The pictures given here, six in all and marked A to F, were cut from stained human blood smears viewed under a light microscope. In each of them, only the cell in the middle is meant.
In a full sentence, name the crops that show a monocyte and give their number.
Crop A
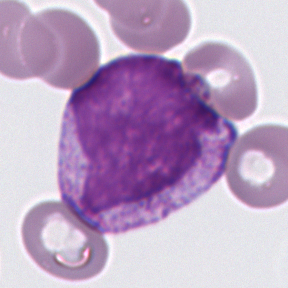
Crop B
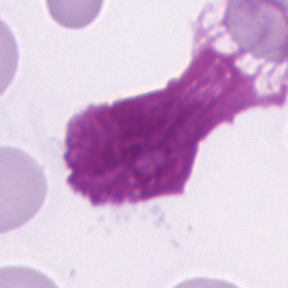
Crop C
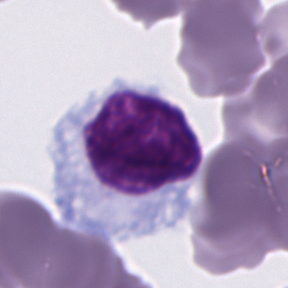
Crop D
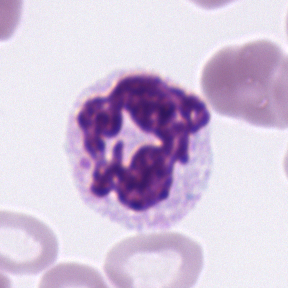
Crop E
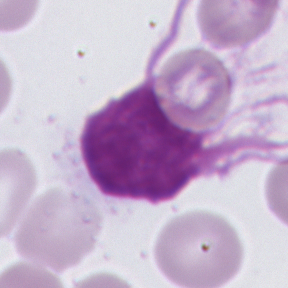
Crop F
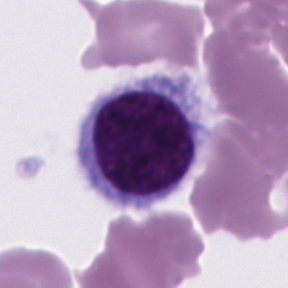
The crops show no monocytes at all, and the count is accordingly zero.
